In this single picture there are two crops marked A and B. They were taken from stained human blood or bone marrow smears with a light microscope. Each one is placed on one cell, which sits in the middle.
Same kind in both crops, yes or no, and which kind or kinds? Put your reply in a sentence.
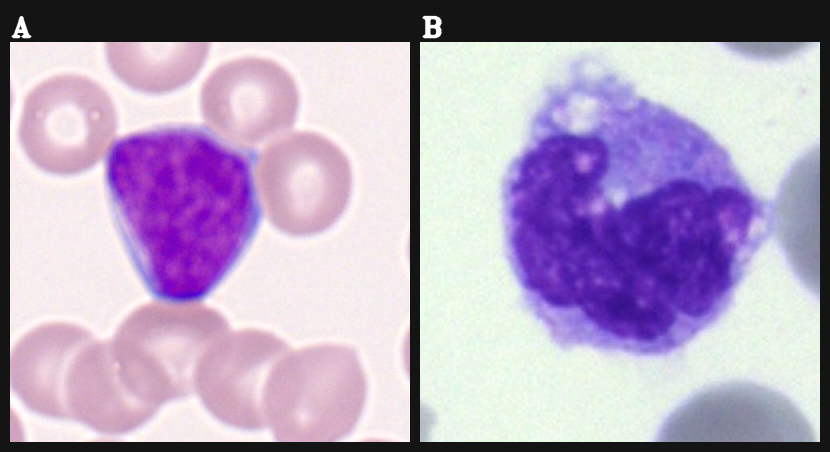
No, a blast is what occupies crop A, and a monocyte is what occupies crop B.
